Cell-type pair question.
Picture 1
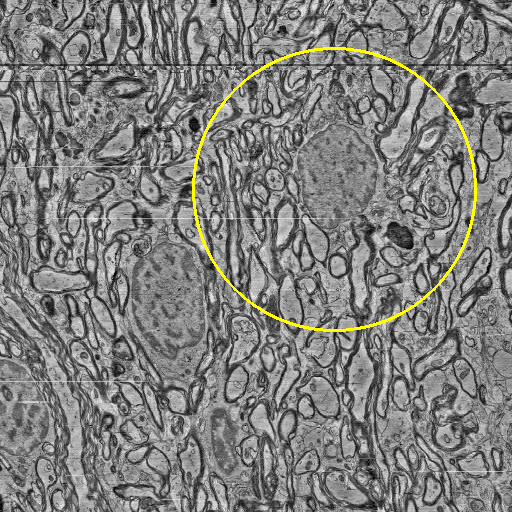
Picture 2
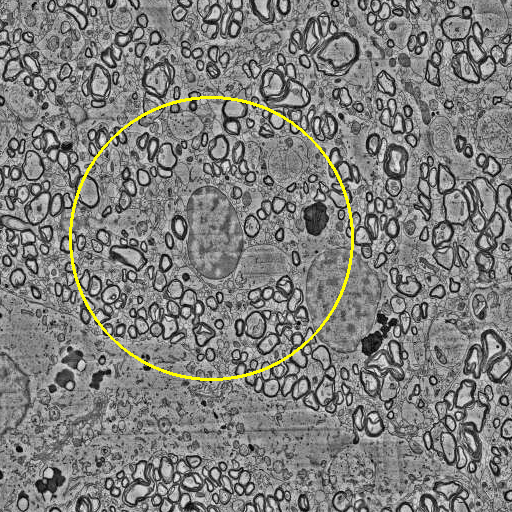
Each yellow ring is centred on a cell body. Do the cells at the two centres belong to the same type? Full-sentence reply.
No, the two cells belong to two types.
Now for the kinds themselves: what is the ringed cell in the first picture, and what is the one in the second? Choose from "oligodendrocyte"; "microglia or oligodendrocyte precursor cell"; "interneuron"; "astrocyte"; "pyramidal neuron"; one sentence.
Here the first cell is an oligodendrocyte and the second cell is a microglial cell or oligodendrocyte precursor cell.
